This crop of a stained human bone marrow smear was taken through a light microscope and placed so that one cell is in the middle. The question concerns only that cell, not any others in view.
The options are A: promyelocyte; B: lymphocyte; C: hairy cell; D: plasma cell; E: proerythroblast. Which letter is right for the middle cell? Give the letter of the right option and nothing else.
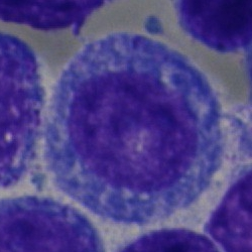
A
